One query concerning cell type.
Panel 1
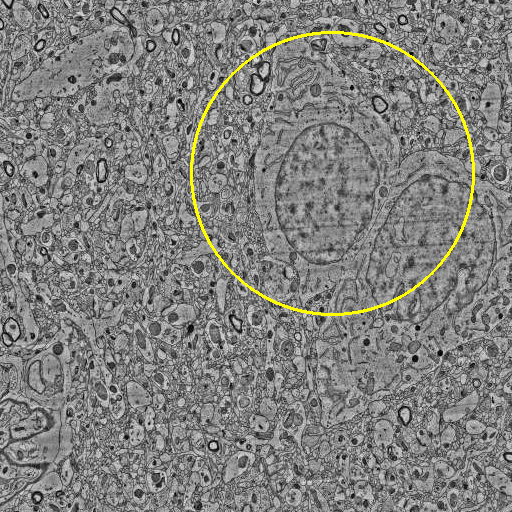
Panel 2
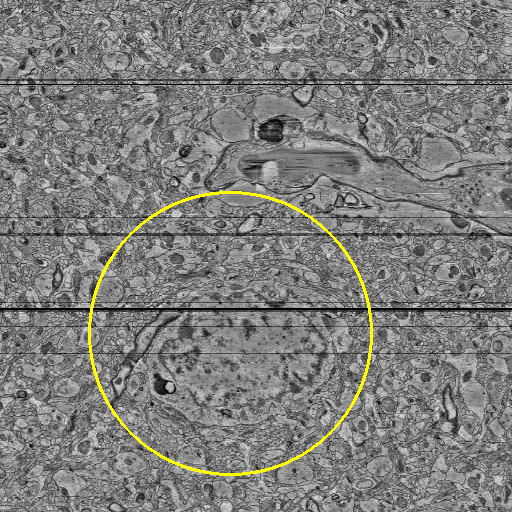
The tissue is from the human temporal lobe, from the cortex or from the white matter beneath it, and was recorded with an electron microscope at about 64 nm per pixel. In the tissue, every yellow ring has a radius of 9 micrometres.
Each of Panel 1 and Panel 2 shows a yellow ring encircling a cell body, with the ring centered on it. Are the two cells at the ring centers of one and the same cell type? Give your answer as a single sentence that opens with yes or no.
Yes, the cell centered in Panel 1 and the one in Panel 2 share a type.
